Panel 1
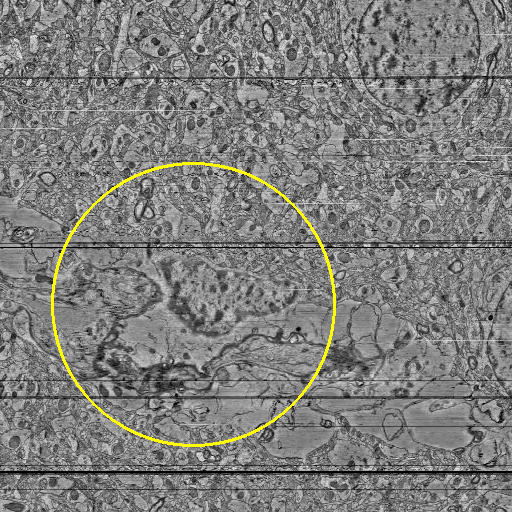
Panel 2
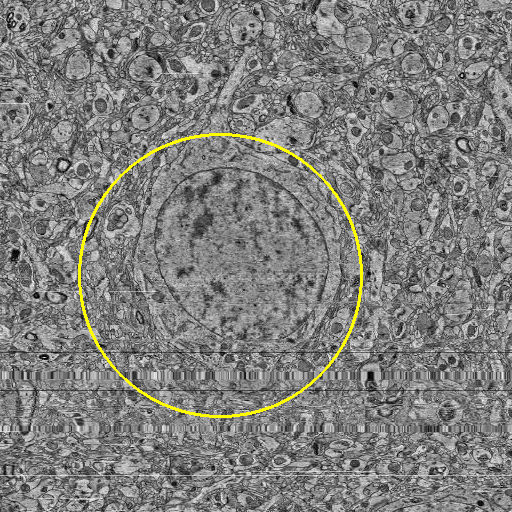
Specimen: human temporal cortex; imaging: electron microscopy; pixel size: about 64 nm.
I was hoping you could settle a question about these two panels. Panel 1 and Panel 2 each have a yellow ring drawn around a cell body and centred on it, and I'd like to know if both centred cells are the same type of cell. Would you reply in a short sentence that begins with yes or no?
No, they are two types of cell.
